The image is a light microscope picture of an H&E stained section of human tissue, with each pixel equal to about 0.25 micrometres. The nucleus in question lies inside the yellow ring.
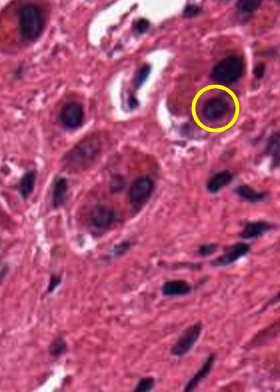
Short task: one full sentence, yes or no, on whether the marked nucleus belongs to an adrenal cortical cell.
Yes, in the picture the marked nucleus belongs to an adrenal cortical cell.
